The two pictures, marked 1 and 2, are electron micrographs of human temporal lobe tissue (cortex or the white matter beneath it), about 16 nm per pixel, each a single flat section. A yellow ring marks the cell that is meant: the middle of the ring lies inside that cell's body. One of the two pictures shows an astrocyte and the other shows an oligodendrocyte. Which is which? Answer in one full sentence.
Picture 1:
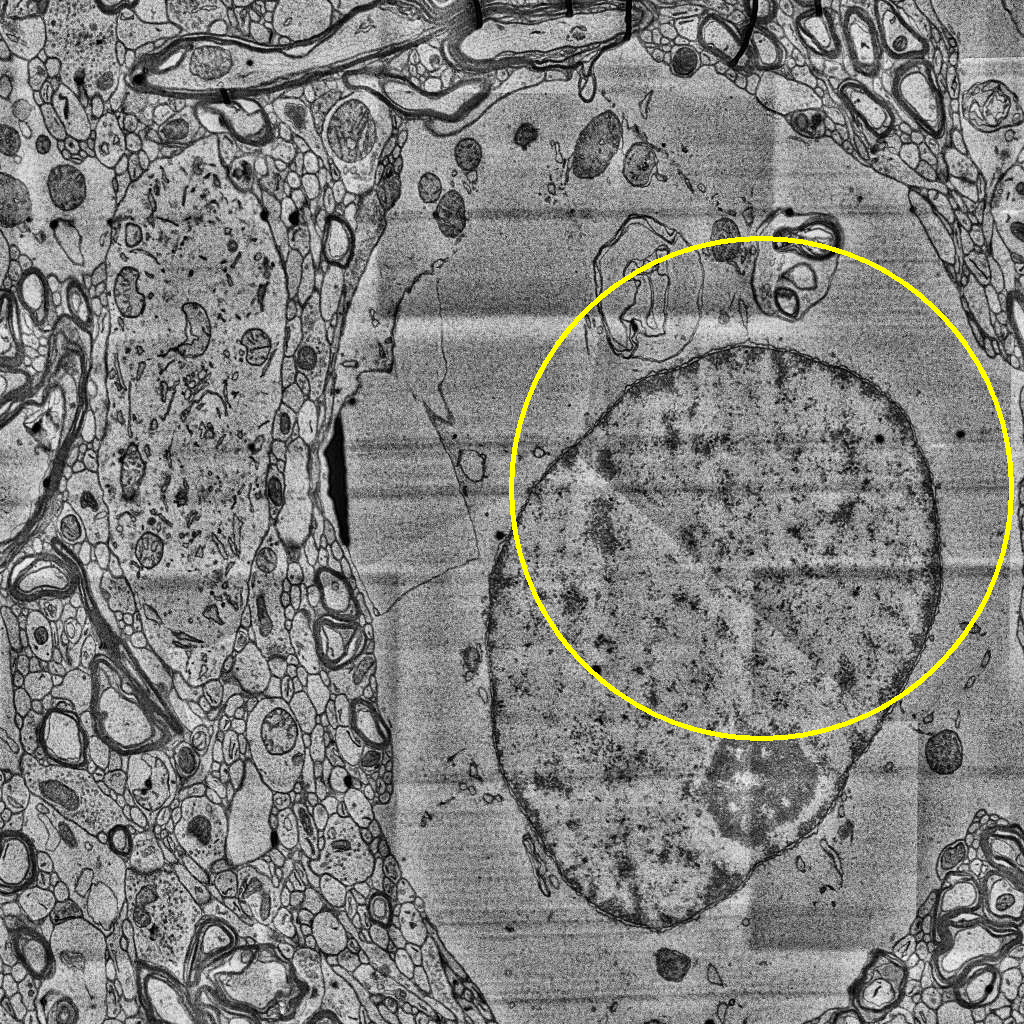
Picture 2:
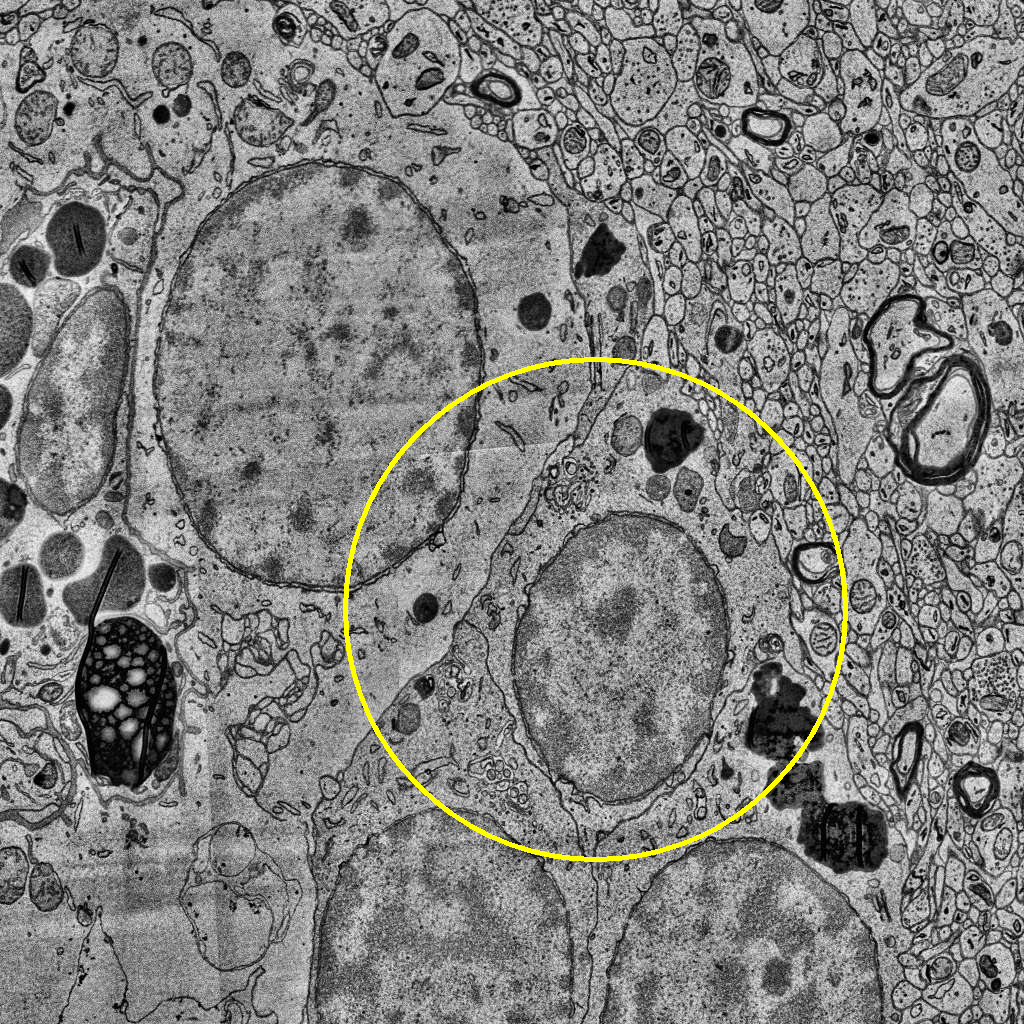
Picture 1 is of an astrocyte, and picture 2 is of an oligodendrocyte.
